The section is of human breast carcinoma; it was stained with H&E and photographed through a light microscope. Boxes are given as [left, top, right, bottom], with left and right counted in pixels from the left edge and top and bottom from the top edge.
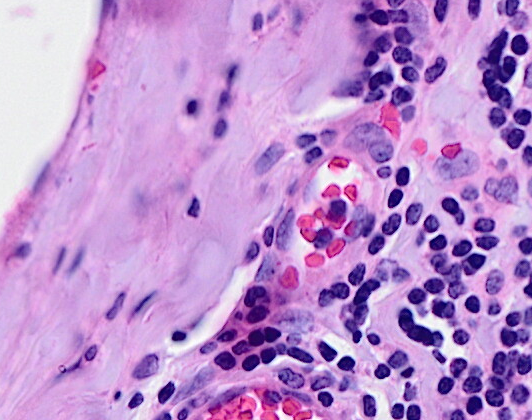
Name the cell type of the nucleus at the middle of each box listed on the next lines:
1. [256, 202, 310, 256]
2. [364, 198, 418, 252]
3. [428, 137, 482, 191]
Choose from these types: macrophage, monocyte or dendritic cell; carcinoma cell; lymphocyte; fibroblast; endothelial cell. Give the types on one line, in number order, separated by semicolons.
endothelial cell; lymphocyte; endothelial cell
